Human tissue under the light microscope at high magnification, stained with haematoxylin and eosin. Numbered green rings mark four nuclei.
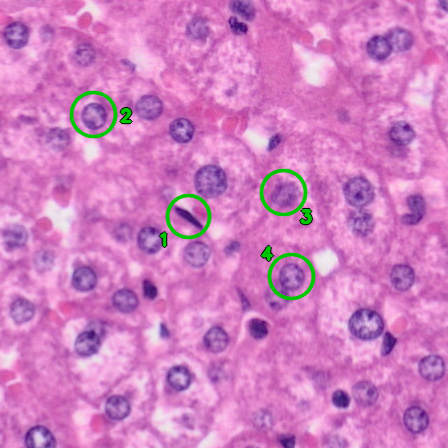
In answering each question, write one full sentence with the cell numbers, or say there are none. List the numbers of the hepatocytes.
Cells 2, 3 and 4 are classified as hepatocytes.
